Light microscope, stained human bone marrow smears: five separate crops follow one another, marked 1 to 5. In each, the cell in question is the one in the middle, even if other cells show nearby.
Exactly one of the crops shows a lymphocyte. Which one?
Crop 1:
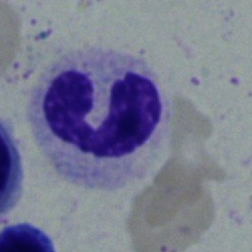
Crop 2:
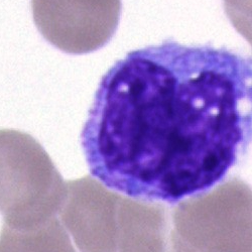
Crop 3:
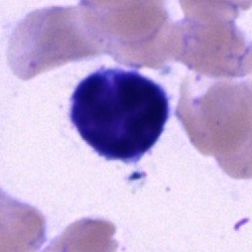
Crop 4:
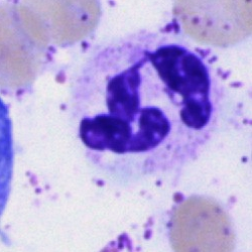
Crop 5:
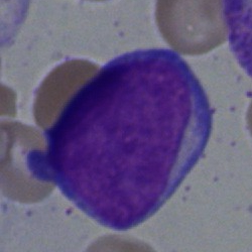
3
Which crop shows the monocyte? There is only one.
2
